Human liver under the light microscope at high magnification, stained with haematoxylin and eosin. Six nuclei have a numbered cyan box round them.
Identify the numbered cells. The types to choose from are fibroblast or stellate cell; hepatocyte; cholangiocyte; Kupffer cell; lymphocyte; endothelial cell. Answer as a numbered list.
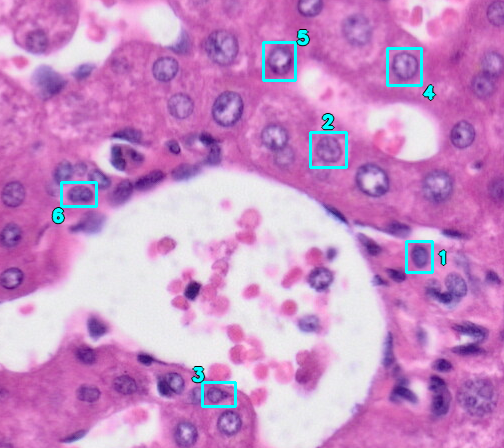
1. cholangiocyte
2. hepatocyte
3. cholangiocyte
4. hepatocyte
5. hepatocyte
6. cholangiocyte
